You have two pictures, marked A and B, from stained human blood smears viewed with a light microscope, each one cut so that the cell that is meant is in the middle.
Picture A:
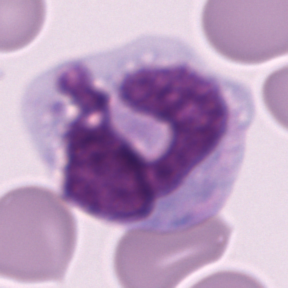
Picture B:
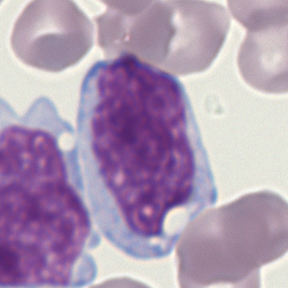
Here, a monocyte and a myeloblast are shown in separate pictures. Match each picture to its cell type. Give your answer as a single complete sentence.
In picture A the cell is a monocyte; in picture B, a myeloblast.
